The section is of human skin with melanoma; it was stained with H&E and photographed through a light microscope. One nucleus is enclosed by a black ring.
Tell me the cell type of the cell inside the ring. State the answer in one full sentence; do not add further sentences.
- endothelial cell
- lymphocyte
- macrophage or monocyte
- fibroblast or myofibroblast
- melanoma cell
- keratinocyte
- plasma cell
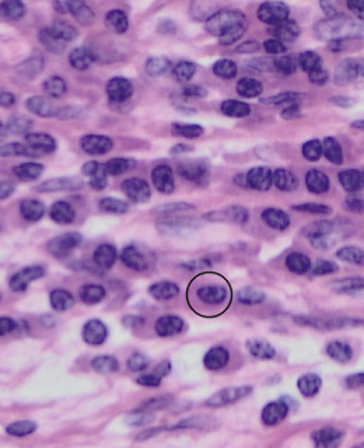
In the context of this tissue, the cell inside the ring is a plasma cell.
